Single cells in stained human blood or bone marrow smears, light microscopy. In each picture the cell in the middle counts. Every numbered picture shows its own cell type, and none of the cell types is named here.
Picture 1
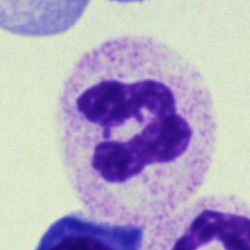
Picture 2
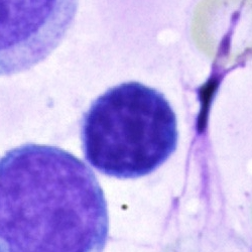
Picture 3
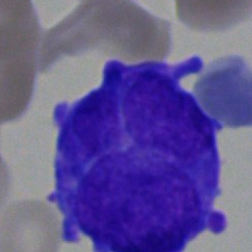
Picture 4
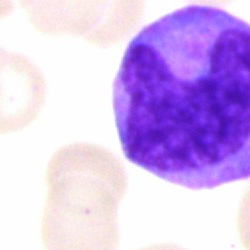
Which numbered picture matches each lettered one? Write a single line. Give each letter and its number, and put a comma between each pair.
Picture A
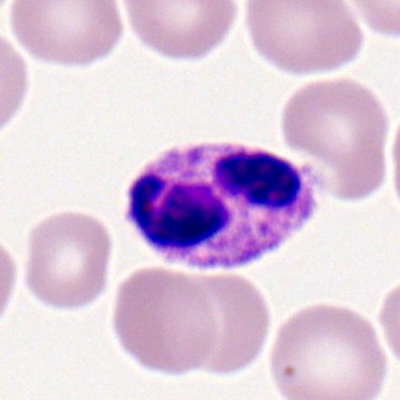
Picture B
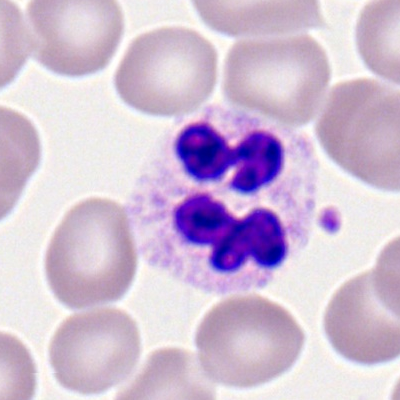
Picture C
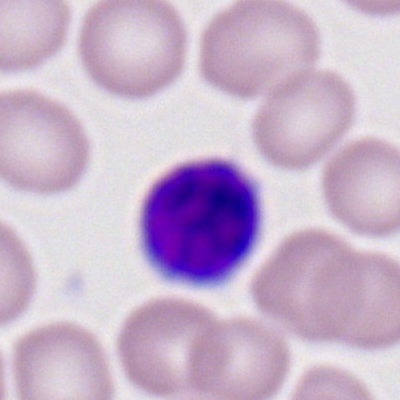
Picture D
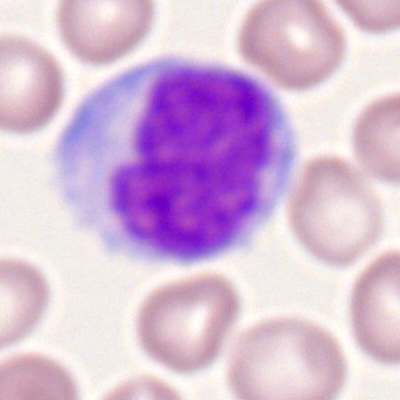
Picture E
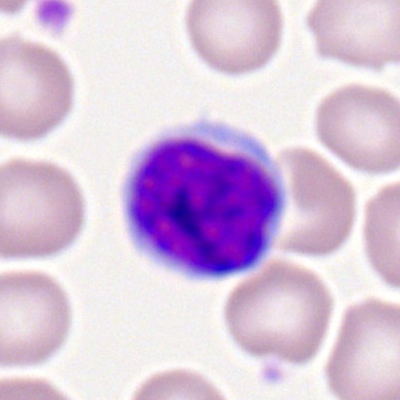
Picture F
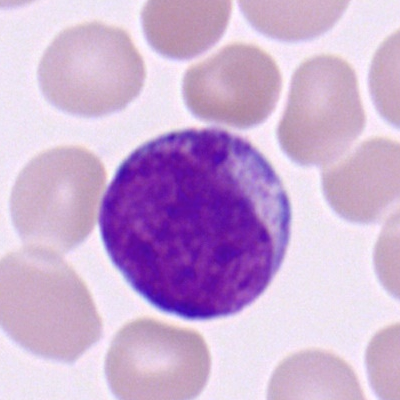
A 1, B 1, C 2, D 4, E 2, F 3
